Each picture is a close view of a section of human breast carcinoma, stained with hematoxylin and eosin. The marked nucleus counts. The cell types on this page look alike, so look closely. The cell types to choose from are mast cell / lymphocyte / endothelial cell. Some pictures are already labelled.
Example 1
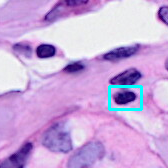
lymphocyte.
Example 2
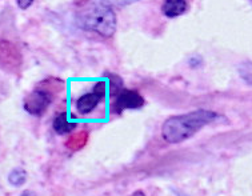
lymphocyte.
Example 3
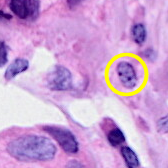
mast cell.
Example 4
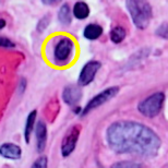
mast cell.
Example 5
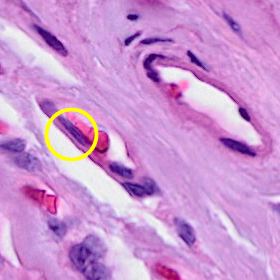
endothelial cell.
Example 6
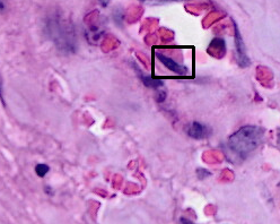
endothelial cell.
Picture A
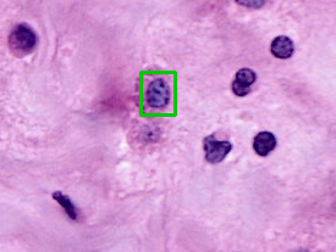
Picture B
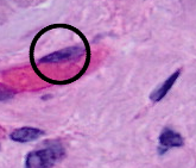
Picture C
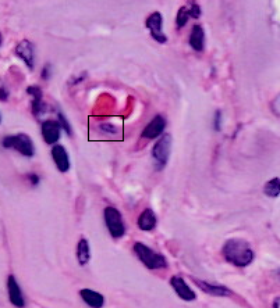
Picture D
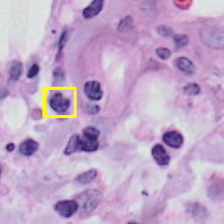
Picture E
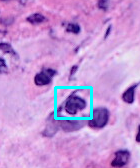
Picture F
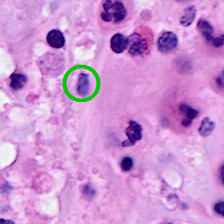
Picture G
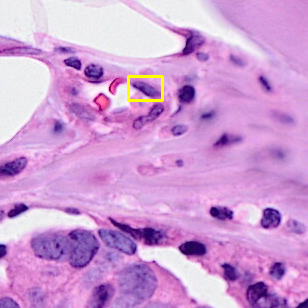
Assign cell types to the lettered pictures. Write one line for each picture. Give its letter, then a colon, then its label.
A: mast cell.
B: endothelial cell.
C: endothelial cell.
D: lymphocyte.
E: lymphocyte.
F: lymphocyte.
G: endothelial cell.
